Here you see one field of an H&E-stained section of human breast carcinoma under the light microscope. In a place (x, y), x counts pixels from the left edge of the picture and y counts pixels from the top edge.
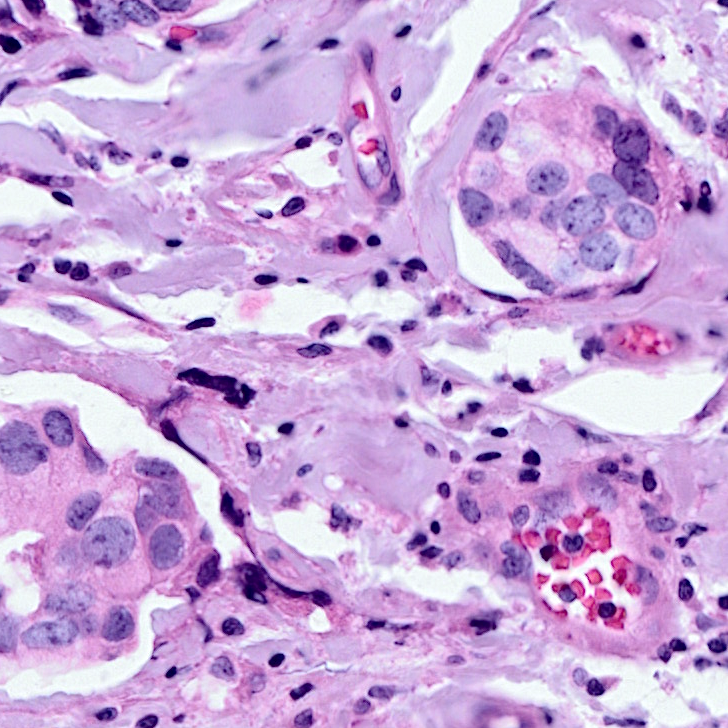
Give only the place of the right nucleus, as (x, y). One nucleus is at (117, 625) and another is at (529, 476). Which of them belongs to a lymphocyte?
(529, 476)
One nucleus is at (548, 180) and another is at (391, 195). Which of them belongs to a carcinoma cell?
(548, 180)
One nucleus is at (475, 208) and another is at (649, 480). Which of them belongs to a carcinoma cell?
(475, 208)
